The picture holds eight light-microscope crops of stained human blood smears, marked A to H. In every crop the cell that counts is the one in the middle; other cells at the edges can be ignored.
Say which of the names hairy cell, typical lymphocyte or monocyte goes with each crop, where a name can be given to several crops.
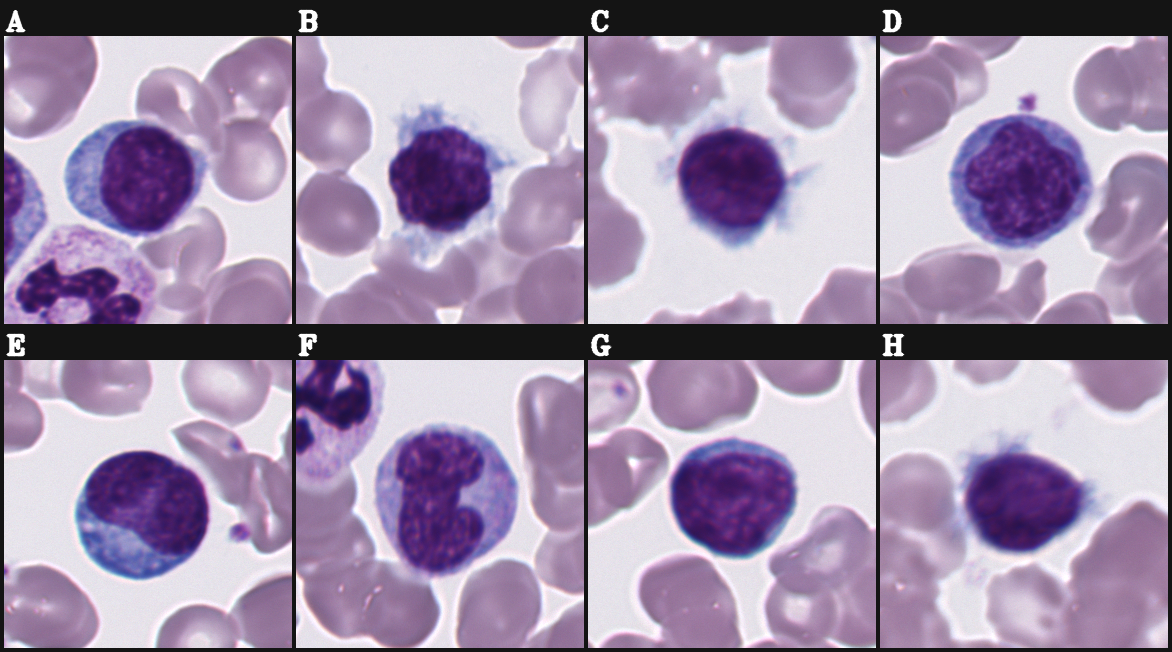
A: typical lymphocyte
B: hairy cell
C: hairy cell
D: monocyte
E: typical lymphocyte
F: monocyte
G: typical lymphocyte
H: hairy cell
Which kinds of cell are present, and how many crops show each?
typical lymphocyte: 3
hairy cell: 3
monocyte: 2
